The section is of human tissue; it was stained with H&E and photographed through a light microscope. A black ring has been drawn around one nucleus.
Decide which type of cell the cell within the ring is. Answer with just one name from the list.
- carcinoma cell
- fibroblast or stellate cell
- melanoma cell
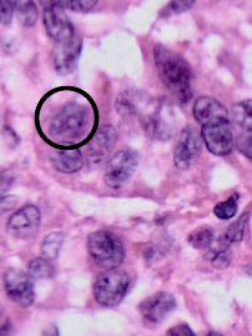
melanoma cell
